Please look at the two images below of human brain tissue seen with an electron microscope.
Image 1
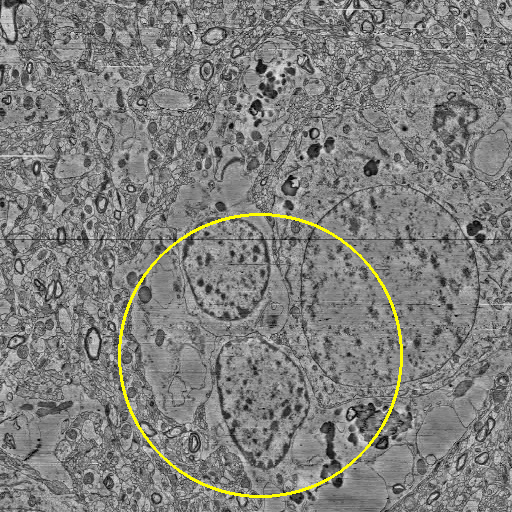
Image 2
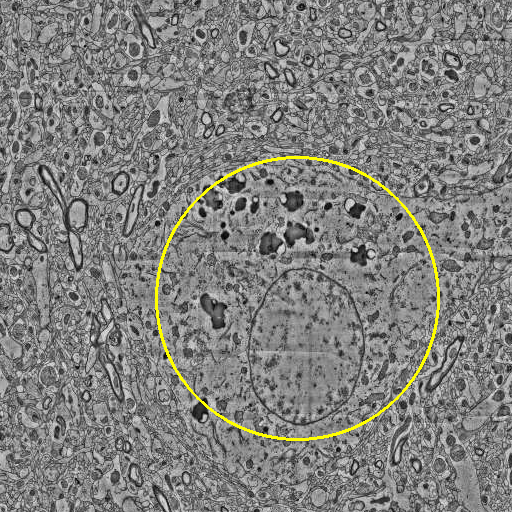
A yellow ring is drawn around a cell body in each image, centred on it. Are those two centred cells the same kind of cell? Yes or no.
no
